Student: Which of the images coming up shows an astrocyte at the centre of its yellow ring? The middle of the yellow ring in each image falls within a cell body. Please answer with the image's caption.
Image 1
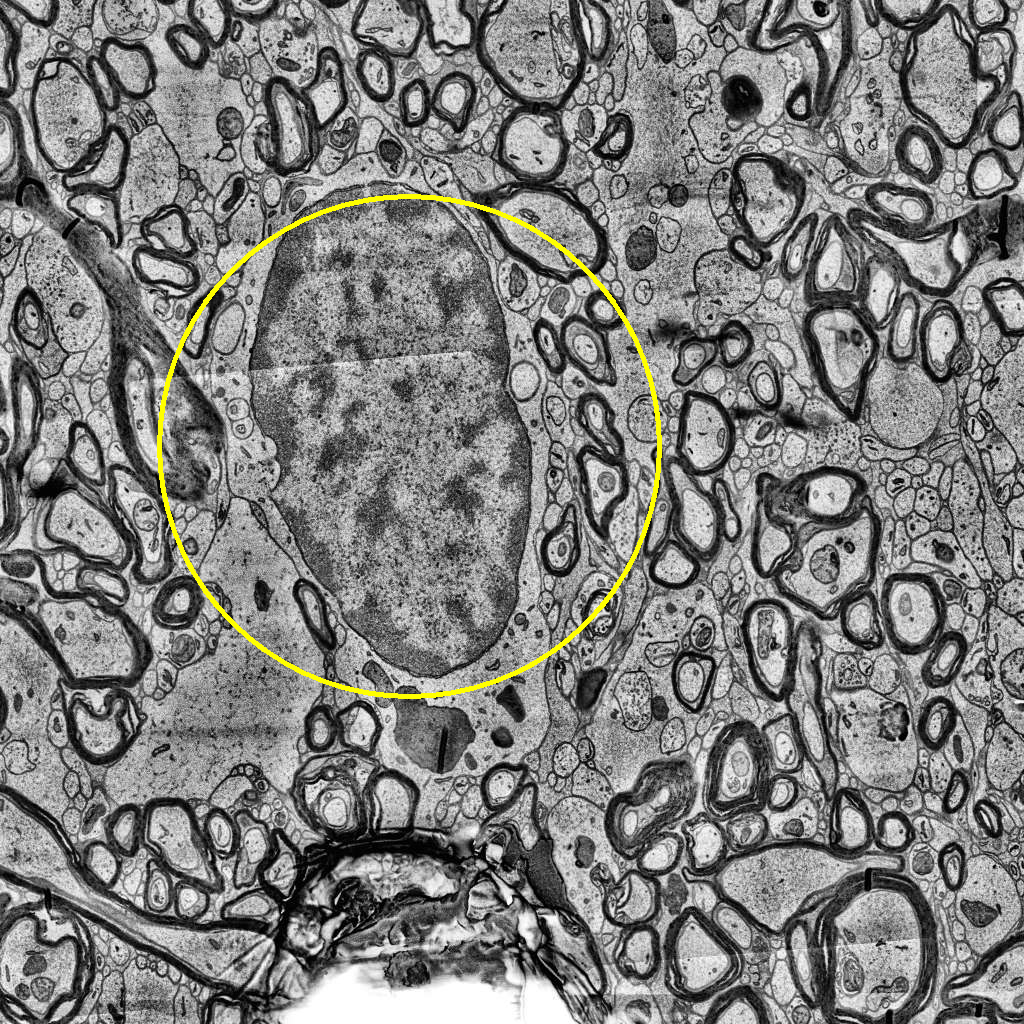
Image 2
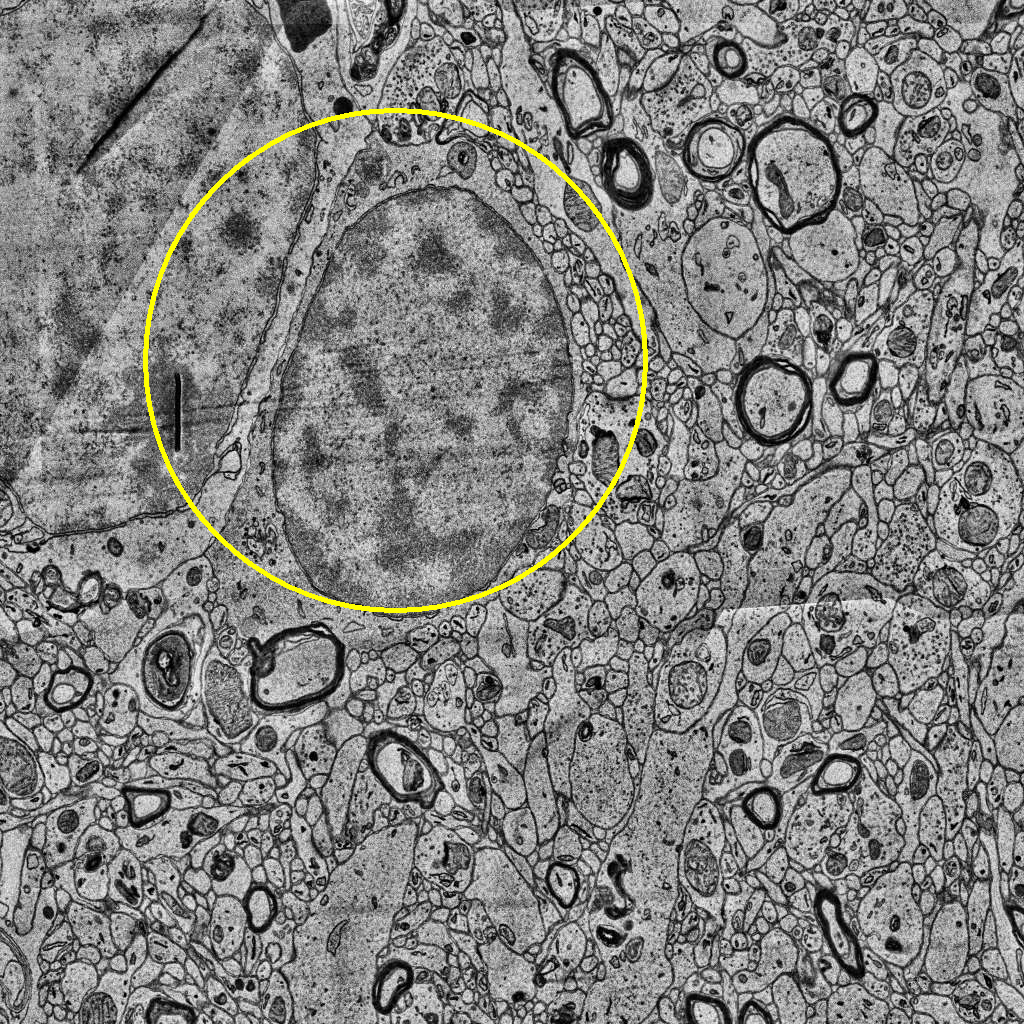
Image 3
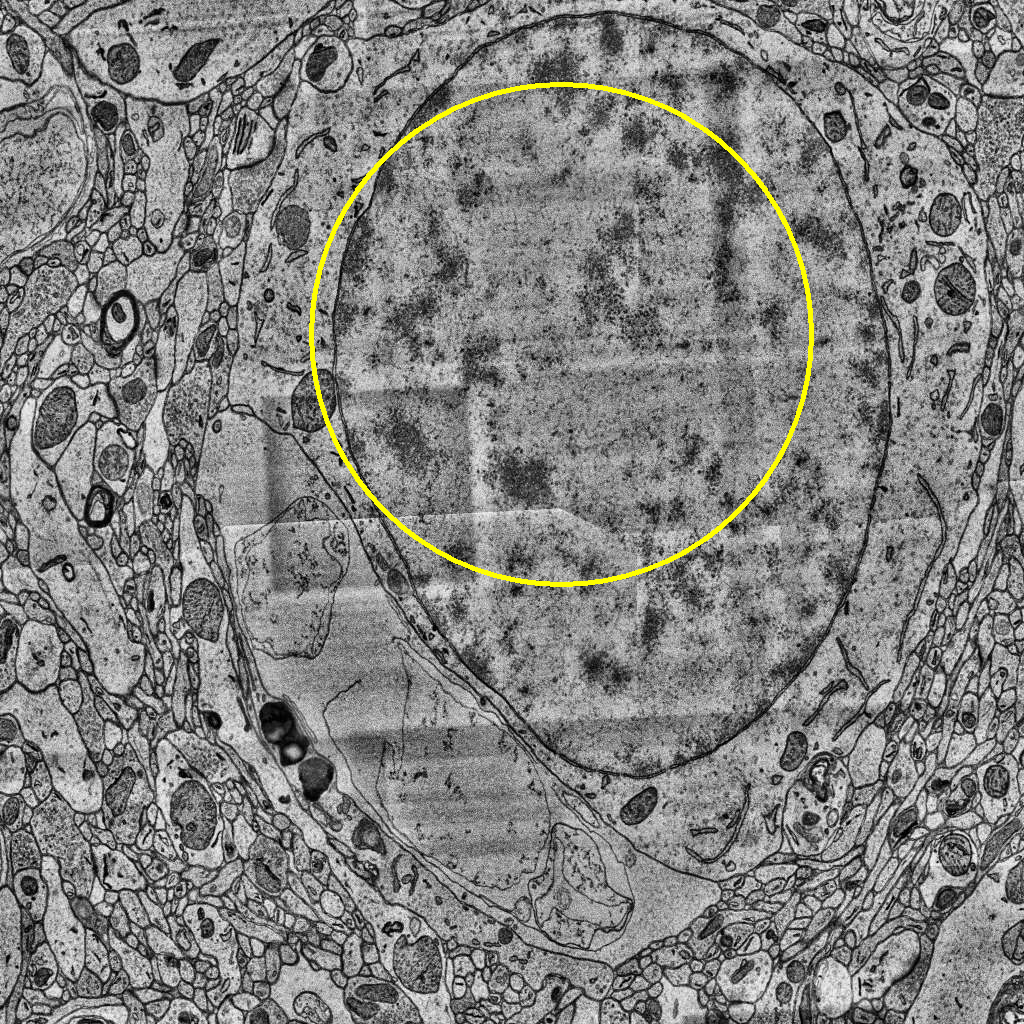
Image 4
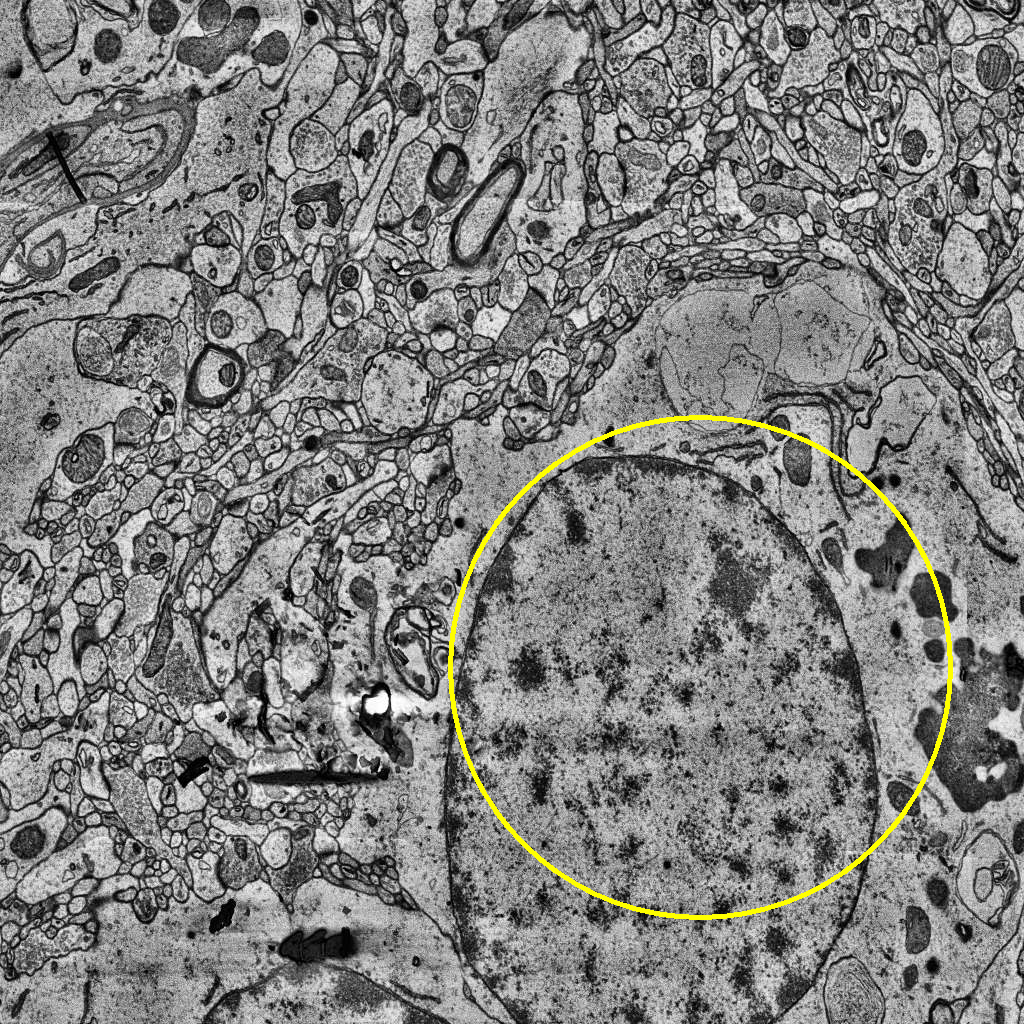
Image 4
